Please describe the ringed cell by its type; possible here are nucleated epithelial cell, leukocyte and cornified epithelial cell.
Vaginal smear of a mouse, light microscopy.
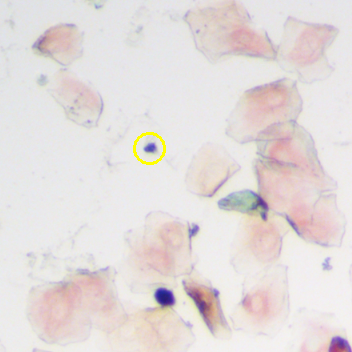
The yellow ring marks a leukocyte.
